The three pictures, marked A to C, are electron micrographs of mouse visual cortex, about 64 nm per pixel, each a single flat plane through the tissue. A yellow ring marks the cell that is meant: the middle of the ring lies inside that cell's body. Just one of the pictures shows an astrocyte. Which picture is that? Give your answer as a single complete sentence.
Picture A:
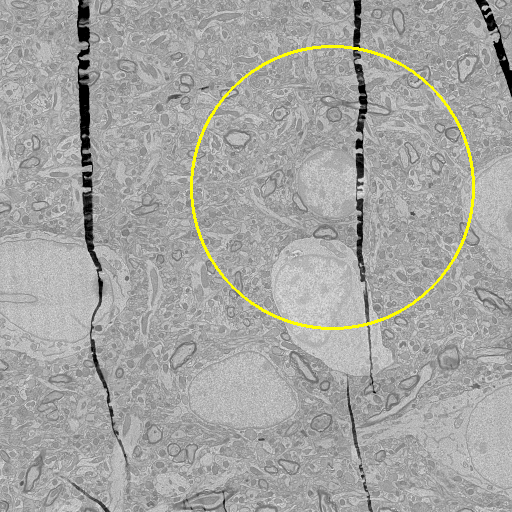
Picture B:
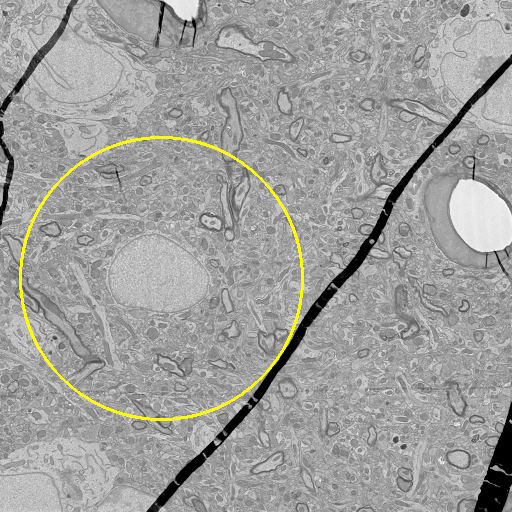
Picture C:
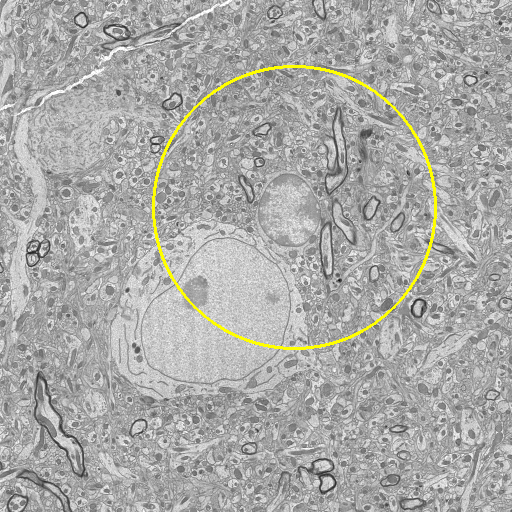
Picture B is the one that shows the astrocyte.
